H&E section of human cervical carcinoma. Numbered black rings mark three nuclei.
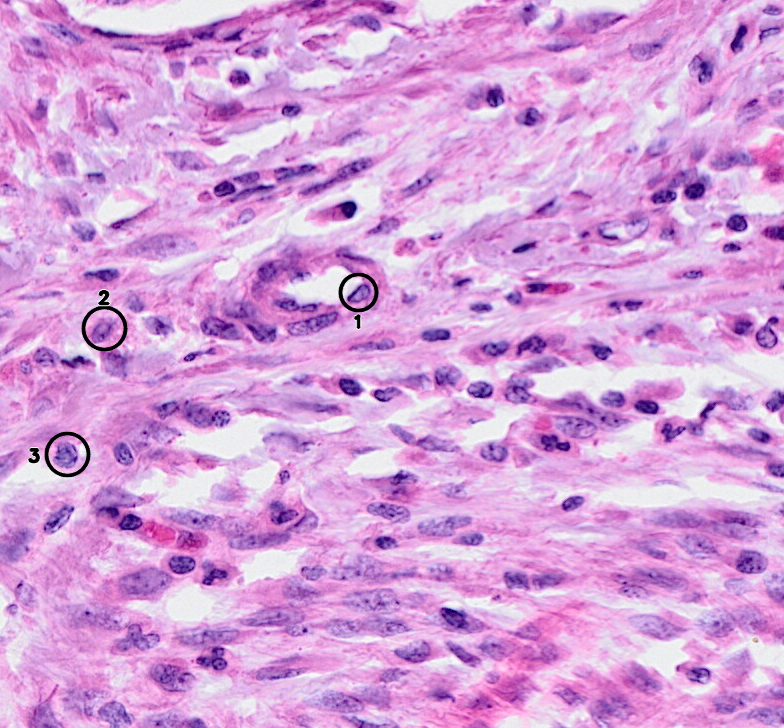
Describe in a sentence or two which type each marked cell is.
Cell 1 is an endothelial cell, cell 2 is a macrophage or monocyte and cell 3 is a lymphocyte.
